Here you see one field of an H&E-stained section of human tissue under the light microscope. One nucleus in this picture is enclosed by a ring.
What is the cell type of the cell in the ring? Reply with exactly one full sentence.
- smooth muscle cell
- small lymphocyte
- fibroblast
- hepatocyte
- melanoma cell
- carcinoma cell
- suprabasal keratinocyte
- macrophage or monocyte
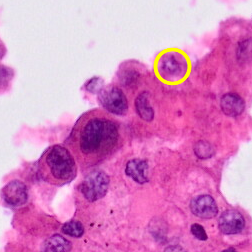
As for its identity, the cell in the ring is a macrophage or monocyte.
